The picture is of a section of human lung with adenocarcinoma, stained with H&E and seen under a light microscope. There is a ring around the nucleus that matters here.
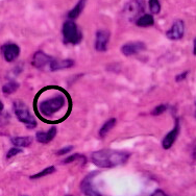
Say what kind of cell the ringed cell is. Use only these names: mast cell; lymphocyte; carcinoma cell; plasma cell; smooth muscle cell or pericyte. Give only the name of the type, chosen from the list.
plasma cell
